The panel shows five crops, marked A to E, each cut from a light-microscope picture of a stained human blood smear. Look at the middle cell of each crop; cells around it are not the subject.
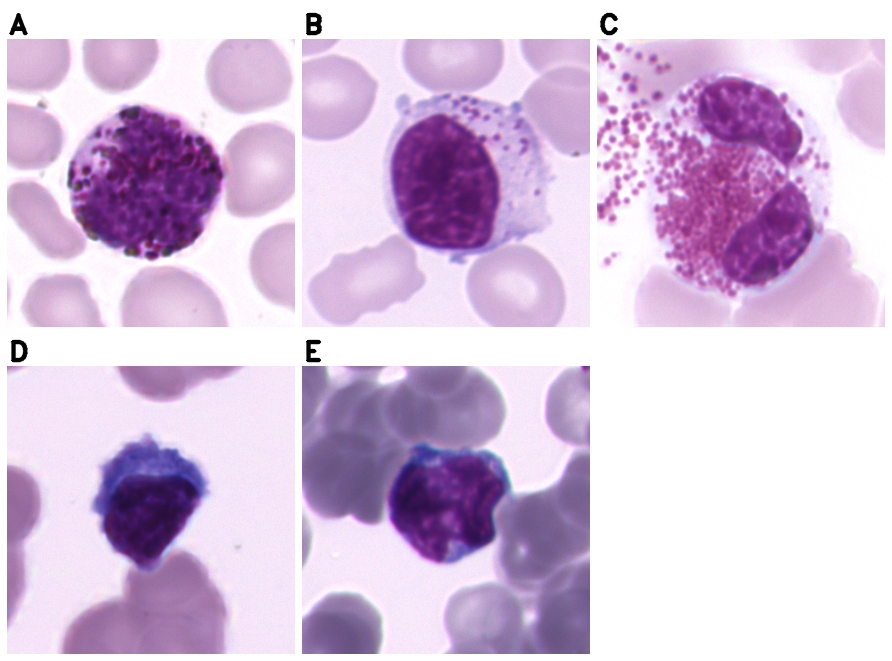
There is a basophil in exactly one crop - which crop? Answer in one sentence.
Crop A, and no other, shows a basophil.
